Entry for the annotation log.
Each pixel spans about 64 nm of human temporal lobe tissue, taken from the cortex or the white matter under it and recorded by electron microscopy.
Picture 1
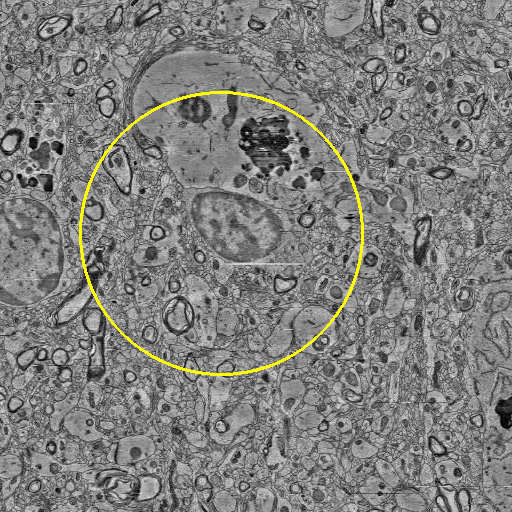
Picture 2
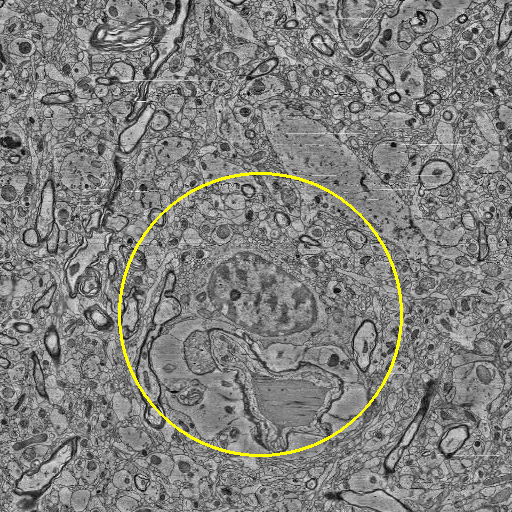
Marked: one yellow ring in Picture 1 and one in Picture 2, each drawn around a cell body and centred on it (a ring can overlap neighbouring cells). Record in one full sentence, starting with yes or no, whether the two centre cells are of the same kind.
Yes, both cells are of the same kind.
